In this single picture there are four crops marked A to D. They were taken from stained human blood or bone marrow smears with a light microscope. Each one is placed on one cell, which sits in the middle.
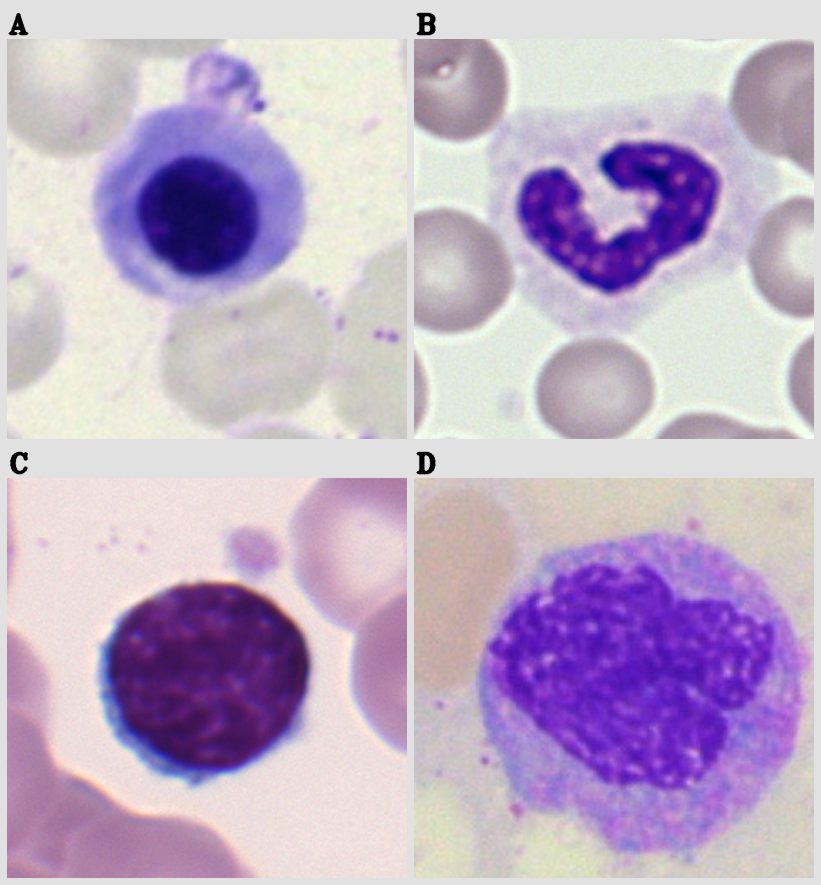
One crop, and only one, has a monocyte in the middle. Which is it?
D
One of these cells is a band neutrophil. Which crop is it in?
B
